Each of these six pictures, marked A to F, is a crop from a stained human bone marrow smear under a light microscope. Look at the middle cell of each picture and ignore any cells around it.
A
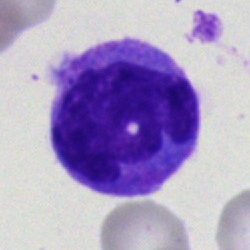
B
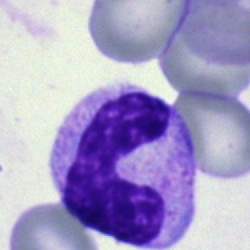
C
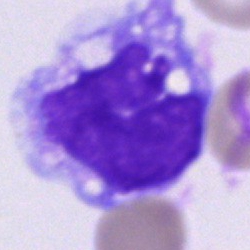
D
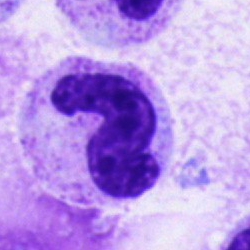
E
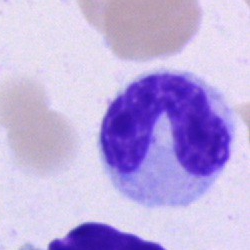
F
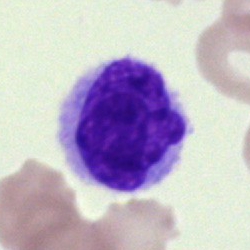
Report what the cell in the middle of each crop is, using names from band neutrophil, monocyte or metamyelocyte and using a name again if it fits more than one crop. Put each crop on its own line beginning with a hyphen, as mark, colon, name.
- A: monocyte
- B: band neutrophil
- C: monocyte
- D: band neutrophil
- E: band neutrophil
- F: monocyte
